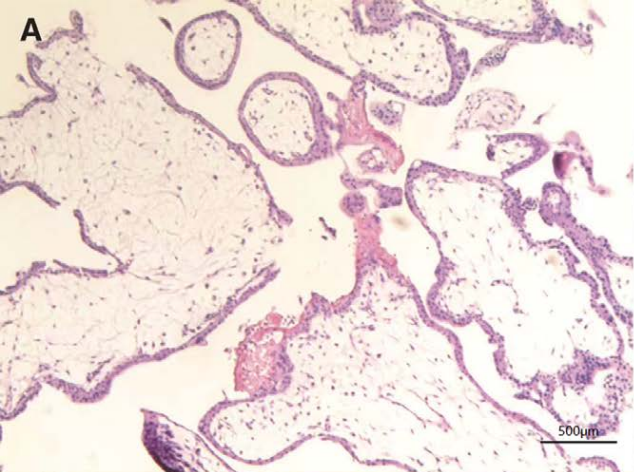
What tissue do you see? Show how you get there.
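Many large rounded to irregular structures with a pale, loose stroma. Each is lined on its surface by a thin cellular epithelial layer. Scattered spindle and stellate cells lie in the pale stroma.
Chorionic villi.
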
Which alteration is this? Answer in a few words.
Edematous.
